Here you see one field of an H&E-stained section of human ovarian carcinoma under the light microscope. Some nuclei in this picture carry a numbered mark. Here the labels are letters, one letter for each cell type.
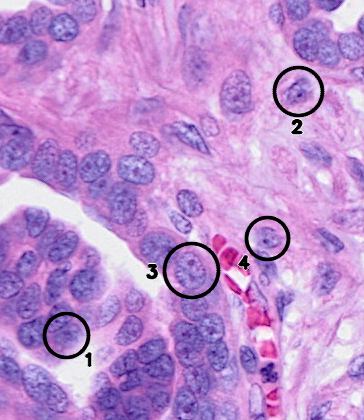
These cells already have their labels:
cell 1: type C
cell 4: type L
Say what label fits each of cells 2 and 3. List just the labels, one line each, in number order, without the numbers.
type L
type C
